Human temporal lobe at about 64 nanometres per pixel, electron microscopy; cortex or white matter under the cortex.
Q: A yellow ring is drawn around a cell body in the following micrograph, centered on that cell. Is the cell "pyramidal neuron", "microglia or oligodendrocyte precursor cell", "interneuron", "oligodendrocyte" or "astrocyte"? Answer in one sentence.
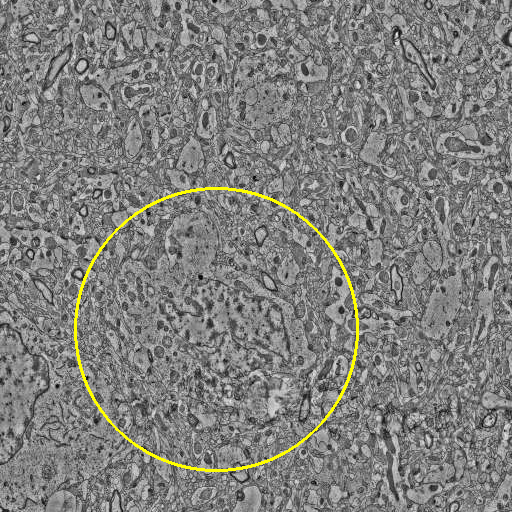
The cell in the center of the ring is an interneuron.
